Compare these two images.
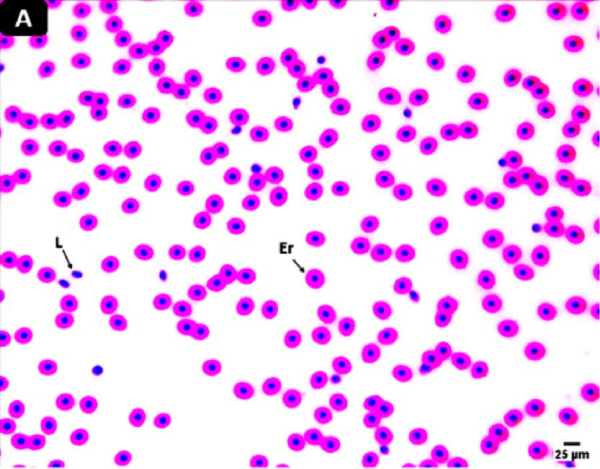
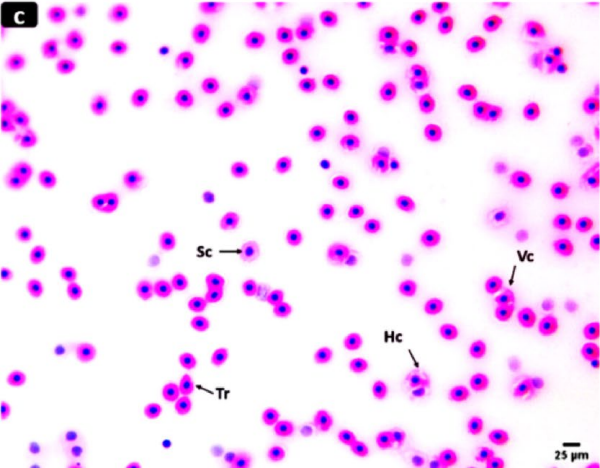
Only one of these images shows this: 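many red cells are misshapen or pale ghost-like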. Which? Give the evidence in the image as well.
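The second image. Second image: several red cells are pale, swollen or irregular in outline. First image: red cells are uniformly oval, evenly pink, with central nuclei.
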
